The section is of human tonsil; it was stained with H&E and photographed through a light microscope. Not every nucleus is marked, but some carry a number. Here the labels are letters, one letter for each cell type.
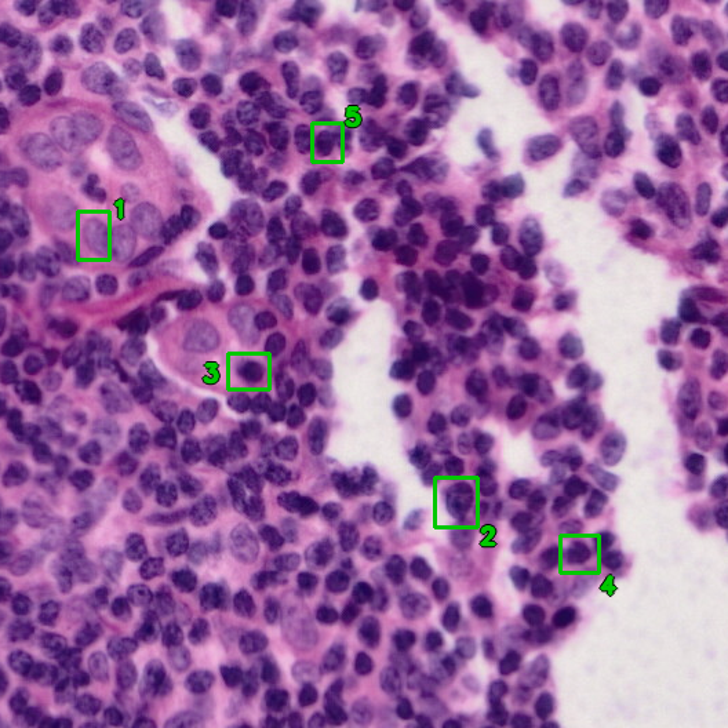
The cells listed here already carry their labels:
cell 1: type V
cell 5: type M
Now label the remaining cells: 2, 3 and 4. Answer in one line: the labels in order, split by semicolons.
type M; type V; type M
